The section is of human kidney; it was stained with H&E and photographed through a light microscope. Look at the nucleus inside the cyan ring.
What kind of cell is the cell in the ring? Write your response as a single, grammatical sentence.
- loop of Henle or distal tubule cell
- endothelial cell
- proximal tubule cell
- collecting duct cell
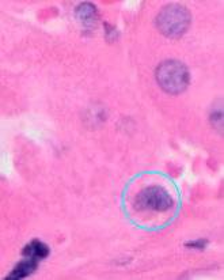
In this field of tissue, the cell in the ring is an endothelial cell.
